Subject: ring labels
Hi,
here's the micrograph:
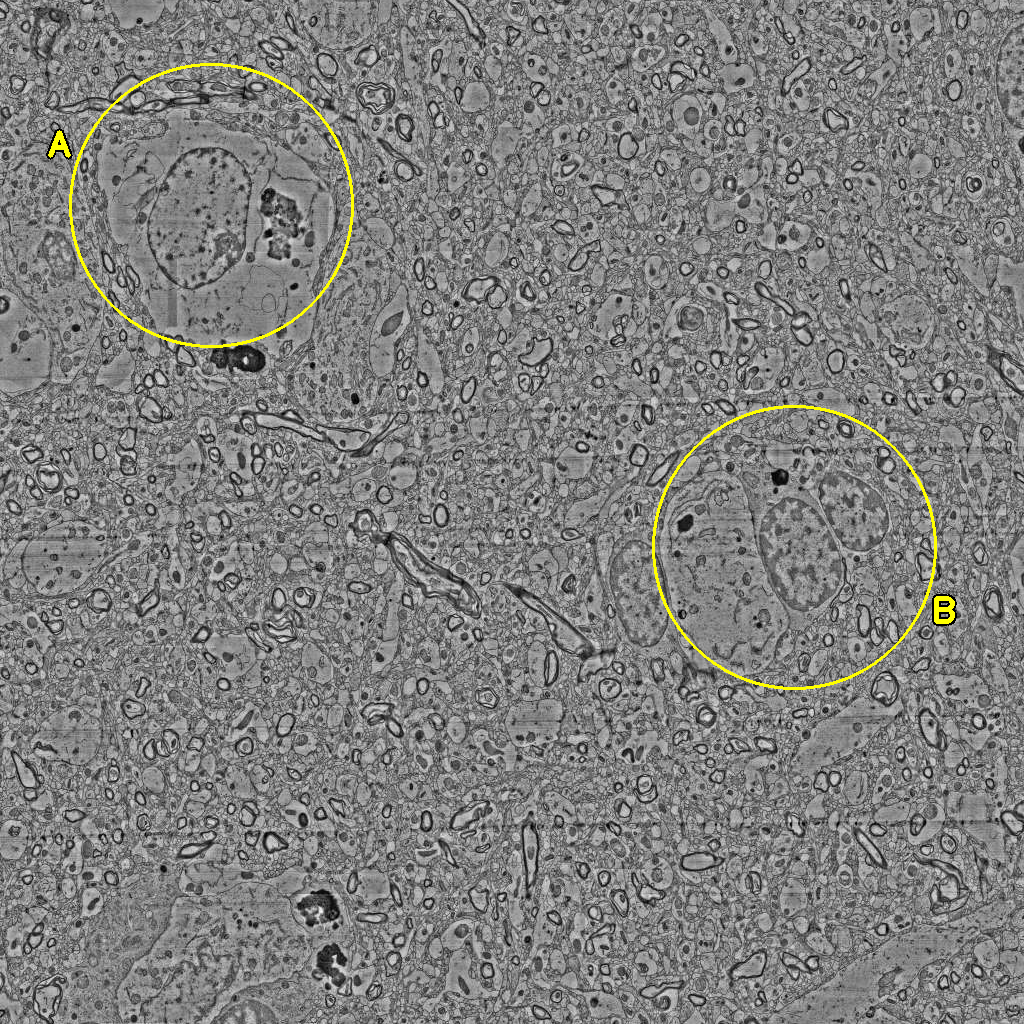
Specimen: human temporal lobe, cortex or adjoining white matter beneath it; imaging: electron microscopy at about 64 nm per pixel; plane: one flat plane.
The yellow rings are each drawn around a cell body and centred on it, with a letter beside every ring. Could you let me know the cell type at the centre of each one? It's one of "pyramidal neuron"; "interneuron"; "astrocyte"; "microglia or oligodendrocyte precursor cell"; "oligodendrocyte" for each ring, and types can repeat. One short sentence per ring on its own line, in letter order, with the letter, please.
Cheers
The type at the centre of ring A is an astrocyte.
The type at the centre of ring B is an oligodendrocyte.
